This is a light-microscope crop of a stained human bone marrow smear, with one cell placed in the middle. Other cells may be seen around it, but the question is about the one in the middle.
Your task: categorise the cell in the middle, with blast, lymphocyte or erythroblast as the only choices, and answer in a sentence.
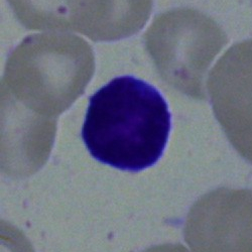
Seen at the centre of the crop is a lymphocyte.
